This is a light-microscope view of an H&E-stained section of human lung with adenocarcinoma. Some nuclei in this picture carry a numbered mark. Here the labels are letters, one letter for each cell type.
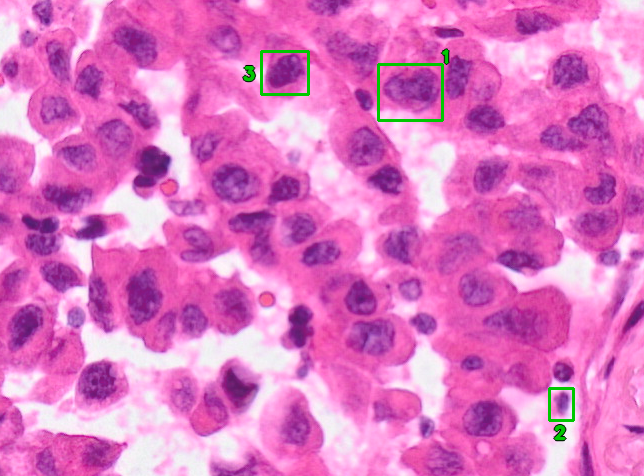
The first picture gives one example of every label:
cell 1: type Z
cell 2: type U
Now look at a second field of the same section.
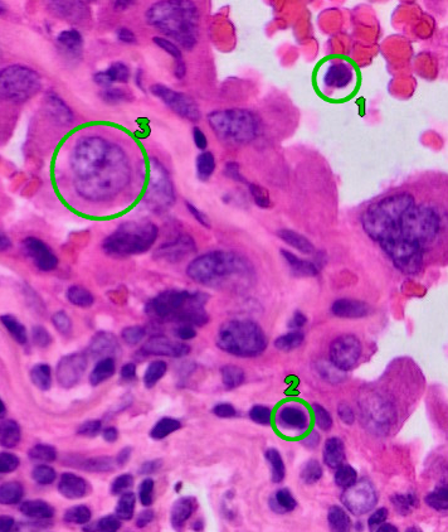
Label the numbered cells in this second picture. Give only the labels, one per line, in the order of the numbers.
type U
type U
type Z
